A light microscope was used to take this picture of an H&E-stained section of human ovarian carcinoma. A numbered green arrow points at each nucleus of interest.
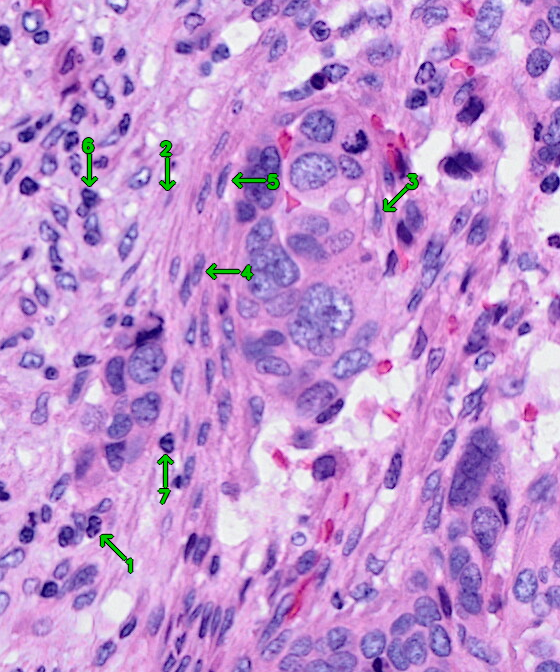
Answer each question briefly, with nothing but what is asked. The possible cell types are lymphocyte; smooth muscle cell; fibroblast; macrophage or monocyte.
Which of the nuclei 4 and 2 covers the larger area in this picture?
4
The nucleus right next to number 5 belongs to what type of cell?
fibroblast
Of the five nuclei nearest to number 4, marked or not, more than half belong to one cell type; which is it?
fibroblast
